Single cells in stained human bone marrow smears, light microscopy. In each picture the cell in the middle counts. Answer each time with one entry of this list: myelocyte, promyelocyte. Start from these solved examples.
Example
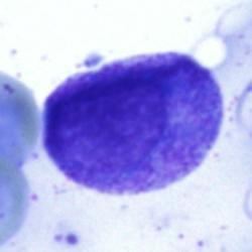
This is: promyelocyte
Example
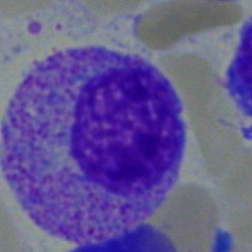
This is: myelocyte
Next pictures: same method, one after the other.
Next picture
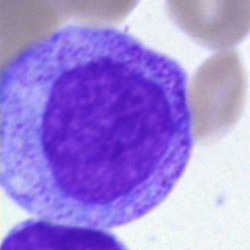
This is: myelocyte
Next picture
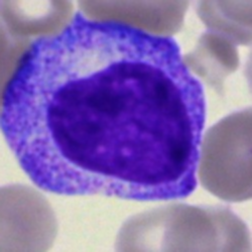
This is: myelocyte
